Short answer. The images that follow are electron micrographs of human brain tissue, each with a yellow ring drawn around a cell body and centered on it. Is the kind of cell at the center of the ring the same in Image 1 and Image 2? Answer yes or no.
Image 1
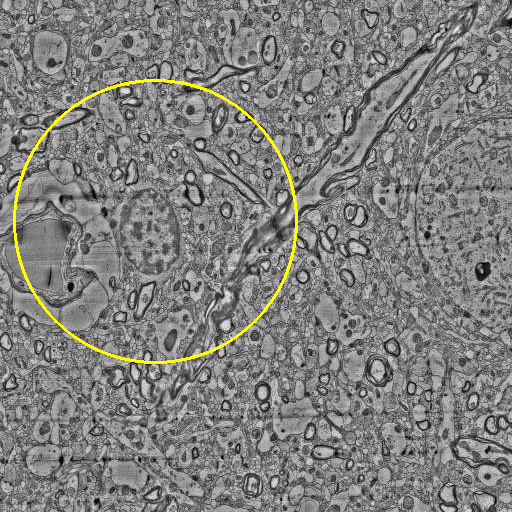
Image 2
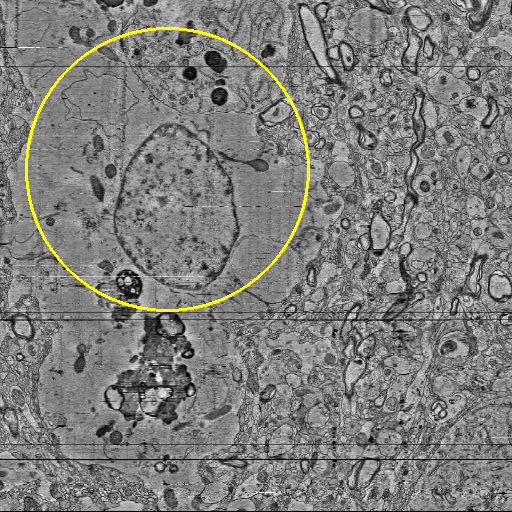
no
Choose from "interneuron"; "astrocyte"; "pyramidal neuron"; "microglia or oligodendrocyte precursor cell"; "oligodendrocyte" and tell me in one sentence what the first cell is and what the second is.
What the first ring is centred on is an oligodendrocyte; what the second ring is centred on is an astrocyte.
